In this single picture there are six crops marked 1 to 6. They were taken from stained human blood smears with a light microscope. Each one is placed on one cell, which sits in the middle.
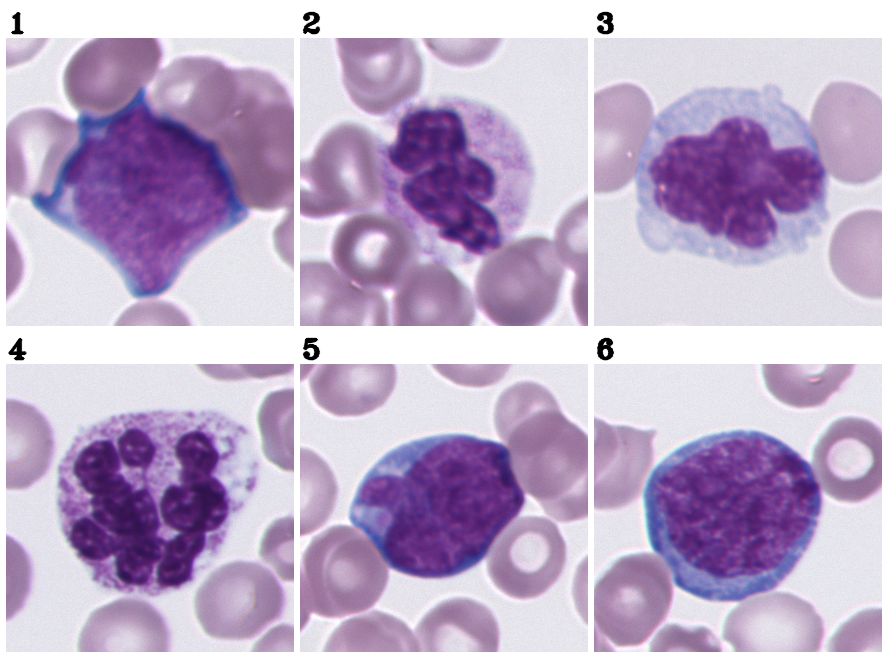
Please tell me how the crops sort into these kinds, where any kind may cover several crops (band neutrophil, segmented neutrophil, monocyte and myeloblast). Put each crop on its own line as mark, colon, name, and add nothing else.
1: myeloblast
2: segmented neutrophil
3: monocyte
4: segmented neutrophil
5: myeloblast
6: myeloblast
